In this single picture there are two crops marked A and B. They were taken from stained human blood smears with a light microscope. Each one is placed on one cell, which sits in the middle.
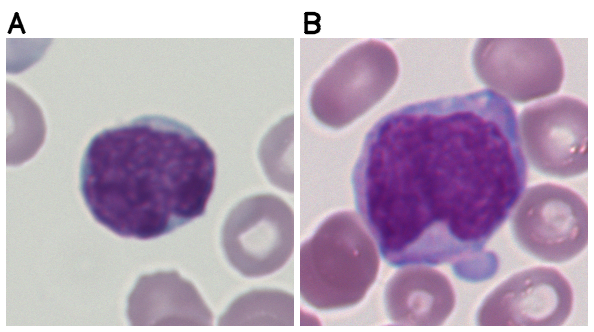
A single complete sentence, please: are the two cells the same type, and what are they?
No, in crop B the central cell is an atypical promyelocyte, and in crop A it is a myeloblast.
